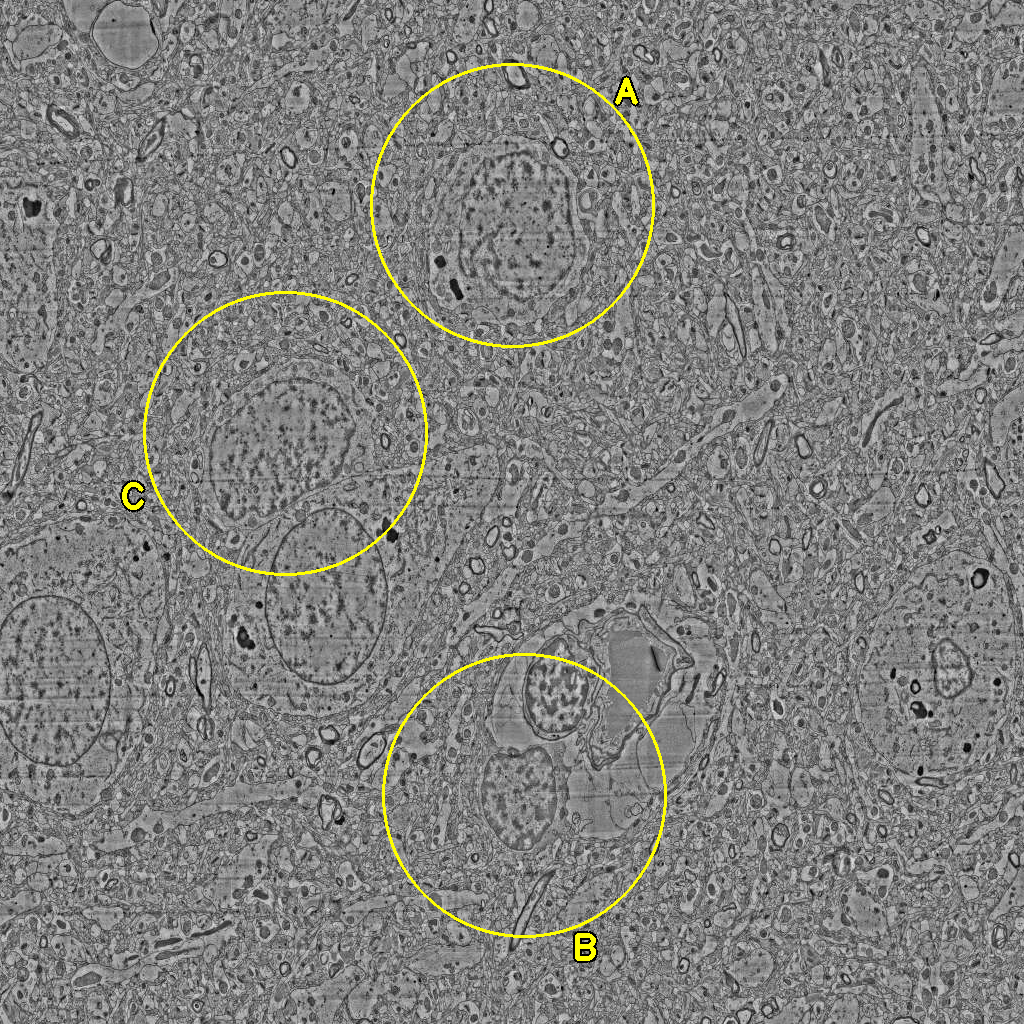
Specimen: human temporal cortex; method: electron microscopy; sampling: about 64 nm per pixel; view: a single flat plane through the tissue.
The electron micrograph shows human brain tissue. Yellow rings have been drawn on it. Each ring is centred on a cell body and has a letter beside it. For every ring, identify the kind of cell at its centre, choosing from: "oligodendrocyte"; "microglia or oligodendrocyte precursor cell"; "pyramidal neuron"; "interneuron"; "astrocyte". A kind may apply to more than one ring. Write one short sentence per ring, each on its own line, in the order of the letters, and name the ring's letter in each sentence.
Ring A is centred on an interneuron.
Ring B is centred on an oligodendrocyte.
Ring C is centred on an interneuron.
